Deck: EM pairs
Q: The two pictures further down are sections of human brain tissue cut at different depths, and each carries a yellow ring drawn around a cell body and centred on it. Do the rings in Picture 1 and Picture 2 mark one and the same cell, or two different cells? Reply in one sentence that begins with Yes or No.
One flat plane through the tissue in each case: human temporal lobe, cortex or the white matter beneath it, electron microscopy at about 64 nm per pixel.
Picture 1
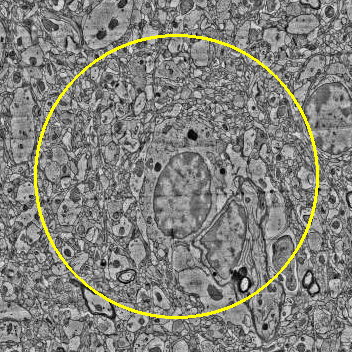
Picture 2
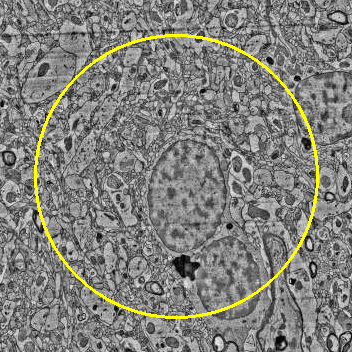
Yes, a single cell lies behind both yellow marks.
